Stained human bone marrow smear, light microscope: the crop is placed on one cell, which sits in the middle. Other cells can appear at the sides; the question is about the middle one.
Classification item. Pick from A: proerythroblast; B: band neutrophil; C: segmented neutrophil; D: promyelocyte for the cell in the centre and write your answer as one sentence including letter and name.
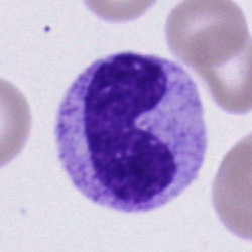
The cell centered in the crop is a band neutrophil, making option B the correct pick.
